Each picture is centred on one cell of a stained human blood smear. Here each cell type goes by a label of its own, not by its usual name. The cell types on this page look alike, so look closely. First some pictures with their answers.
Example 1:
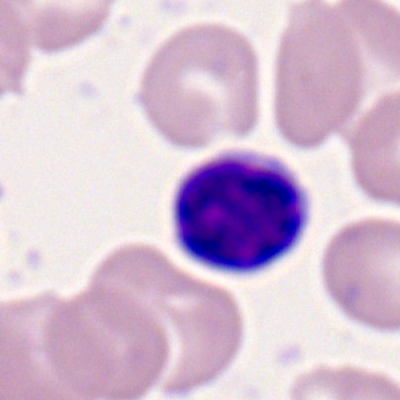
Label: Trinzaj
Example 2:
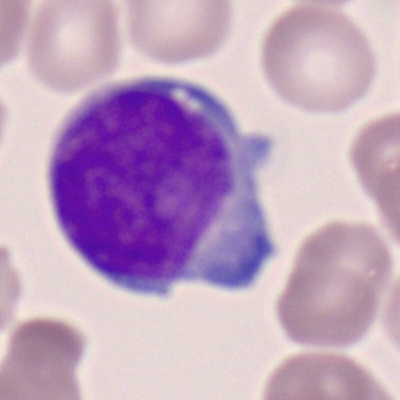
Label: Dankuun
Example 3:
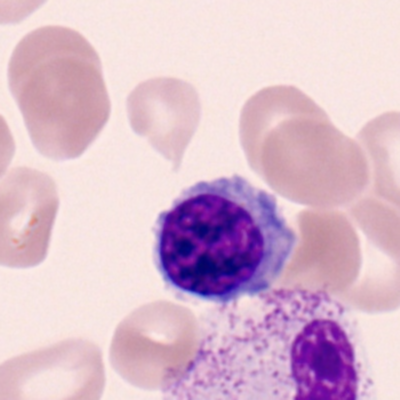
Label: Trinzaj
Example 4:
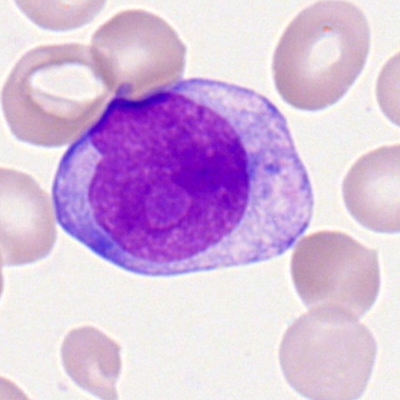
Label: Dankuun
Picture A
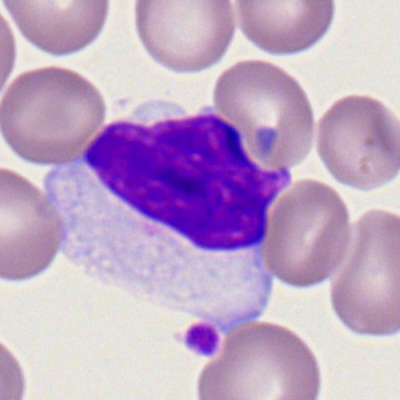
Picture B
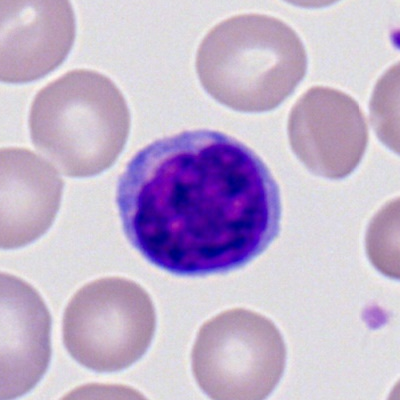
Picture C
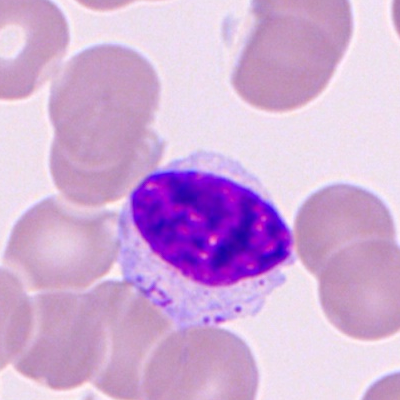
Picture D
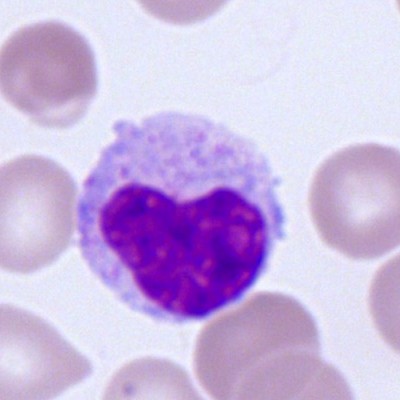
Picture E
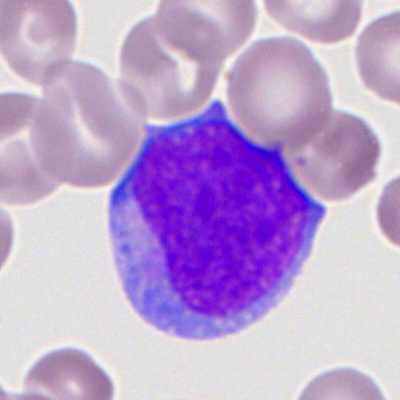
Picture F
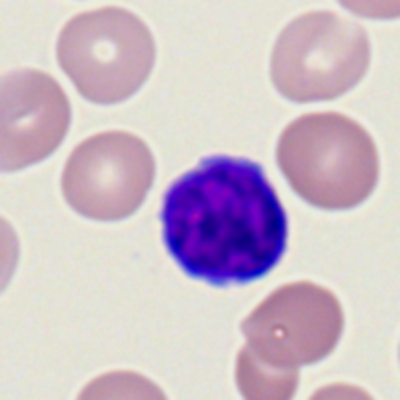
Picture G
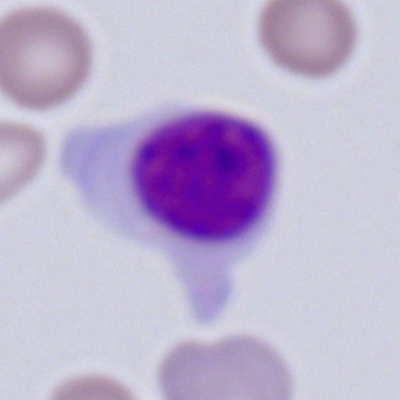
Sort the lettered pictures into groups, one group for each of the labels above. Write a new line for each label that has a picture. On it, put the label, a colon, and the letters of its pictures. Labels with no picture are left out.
Trinzaj: A, B, C, D, F, G
Dankuun: E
